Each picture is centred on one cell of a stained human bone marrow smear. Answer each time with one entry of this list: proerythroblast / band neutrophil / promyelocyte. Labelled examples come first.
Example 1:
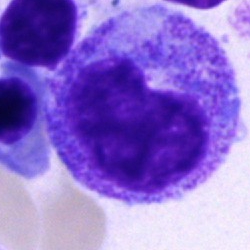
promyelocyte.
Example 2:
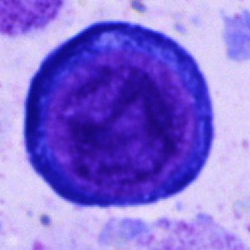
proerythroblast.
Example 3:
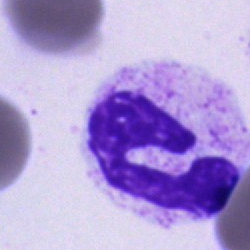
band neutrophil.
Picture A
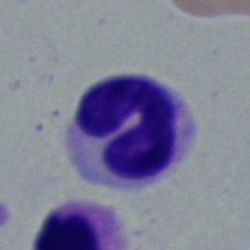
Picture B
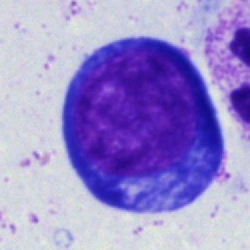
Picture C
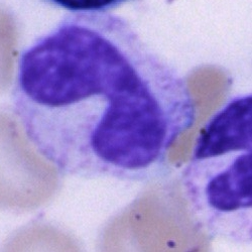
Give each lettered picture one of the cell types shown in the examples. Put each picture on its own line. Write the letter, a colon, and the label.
A: band neutrophil.
B: proerythroblast.
C: band neutrophil.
